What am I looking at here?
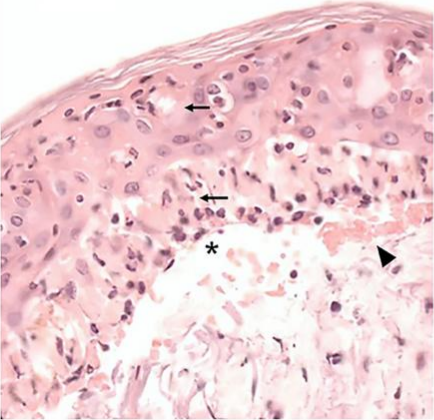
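This is skin with a thickened epidermis of keratinocytes sitting over pale pink dermis, with a cleft opening between the two. Within the epidermis several keratinocytes are rounded off with dense pink cytoplasm or shrunken, dark nuclei, some surrounded by a clear halo. Along the lower edge of the epidermis many small dark nuclei crowd together. The empty cleft beneath holds bright red blood cells and lifts the epidermis from the loose dermal fibres.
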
